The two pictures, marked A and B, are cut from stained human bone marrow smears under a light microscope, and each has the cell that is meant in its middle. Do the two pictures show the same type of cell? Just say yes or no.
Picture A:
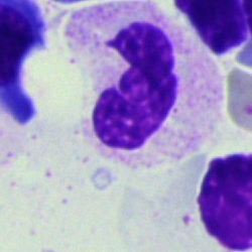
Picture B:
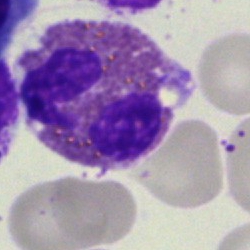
no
